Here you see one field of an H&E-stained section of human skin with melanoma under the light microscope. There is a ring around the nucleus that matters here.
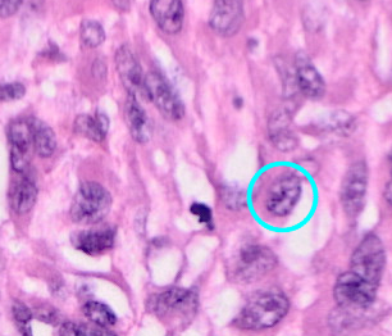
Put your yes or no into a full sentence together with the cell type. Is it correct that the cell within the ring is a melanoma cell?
Yes, the classification of the cell within the ring as a melanoma cell is accurate.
